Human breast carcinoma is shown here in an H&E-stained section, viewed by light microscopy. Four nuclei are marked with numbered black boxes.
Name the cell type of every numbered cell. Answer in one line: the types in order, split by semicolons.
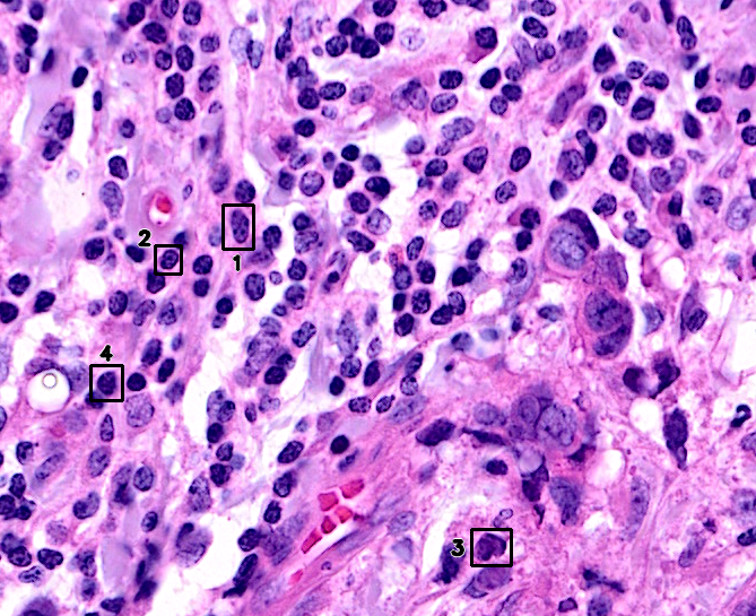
lymphocyte; lymphocyte; carcinoma cell; lymphocyte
